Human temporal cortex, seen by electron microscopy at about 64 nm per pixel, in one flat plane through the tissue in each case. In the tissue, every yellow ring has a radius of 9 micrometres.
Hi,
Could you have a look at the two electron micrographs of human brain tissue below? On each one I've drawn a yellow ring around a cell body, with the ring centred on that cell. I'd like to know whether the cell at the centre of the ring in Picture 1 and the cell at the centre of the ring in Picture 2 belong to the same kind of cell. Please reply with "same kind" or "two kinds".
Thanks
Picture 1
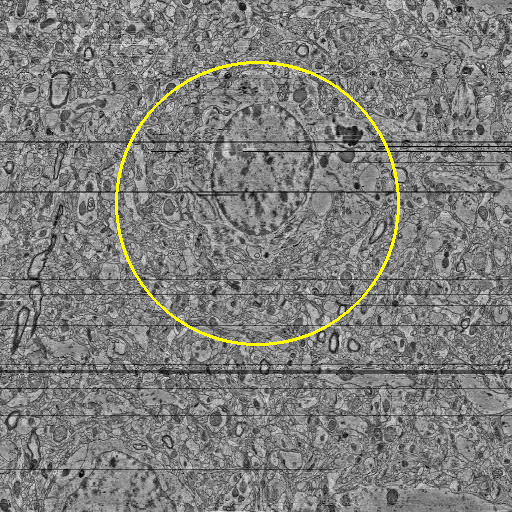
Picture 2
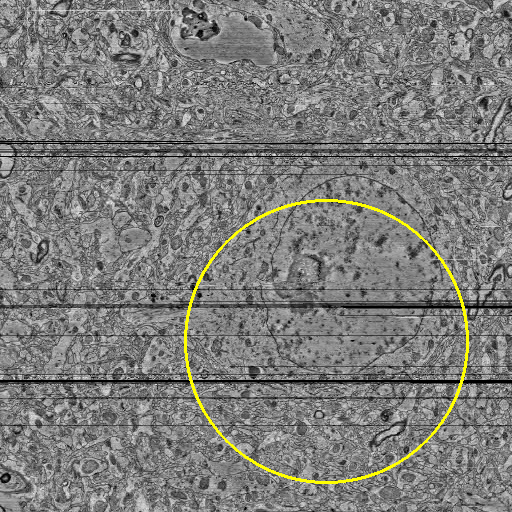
two kinds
